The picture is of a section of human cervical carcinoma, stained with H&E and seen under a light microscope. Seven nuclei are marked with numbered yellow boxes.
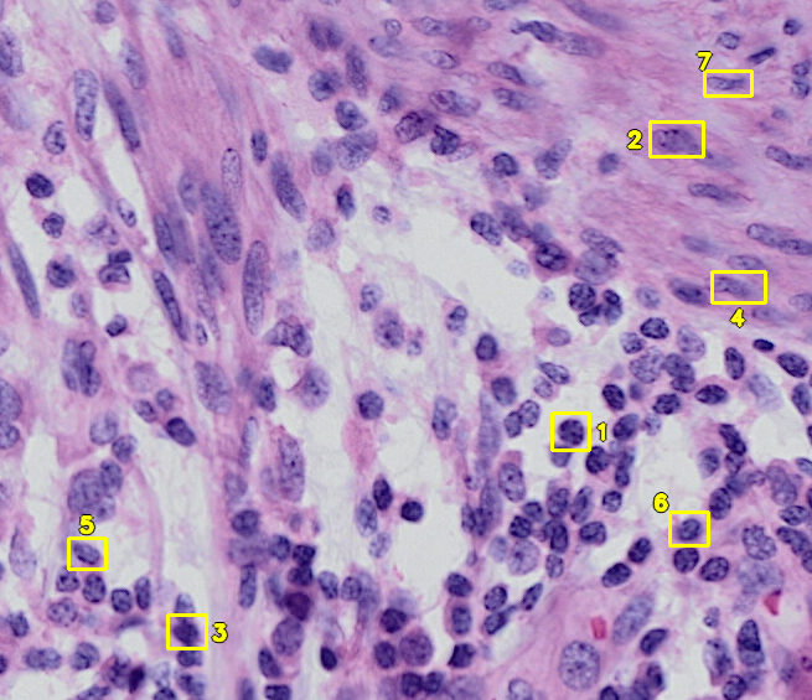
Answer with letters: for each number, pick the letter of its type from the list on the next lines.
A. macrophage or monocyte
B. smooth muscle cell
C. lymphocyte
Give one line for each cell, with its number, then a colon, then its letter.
1: C
2: B
3: C
4: B
5: C
6: C
7: B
